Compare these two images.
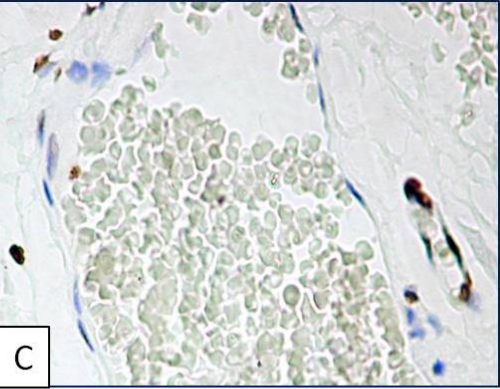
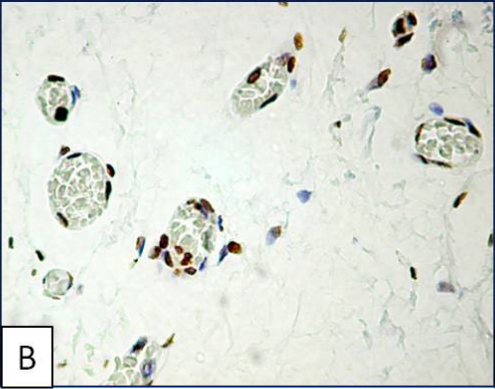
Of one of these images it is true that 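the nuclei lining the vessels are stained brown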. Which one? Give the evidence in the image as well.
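First image: the flat nuclei lining the large blood-filled vessel are blue. Second image: most flat nuclei lining the small blood-filled vessels are brown.
Conclusion: the second image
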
